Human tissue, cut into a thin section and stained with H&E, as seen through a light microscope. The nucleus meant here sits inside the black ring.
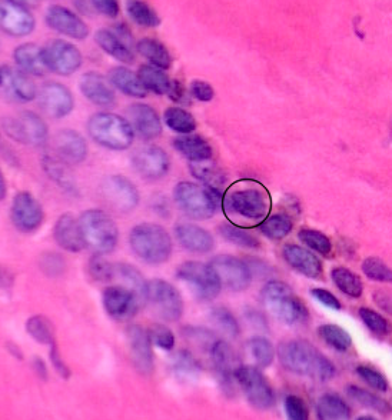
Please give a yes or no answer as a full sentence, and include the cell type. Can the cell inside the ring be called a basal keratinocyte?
Yes, a basal keratinocyte is what the cell inside the ring is in this section.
